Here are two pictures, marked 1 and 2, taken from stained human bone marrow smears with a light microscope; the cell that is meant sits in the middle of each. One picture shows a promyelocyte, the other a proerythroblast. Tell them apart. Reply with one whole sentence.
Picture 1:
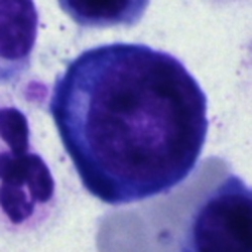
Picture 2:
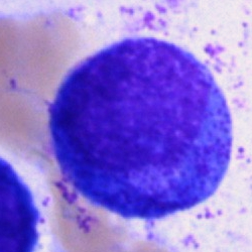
Picture 2 shows a promyelocyte, while picture 1 shows a proerythroblast.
